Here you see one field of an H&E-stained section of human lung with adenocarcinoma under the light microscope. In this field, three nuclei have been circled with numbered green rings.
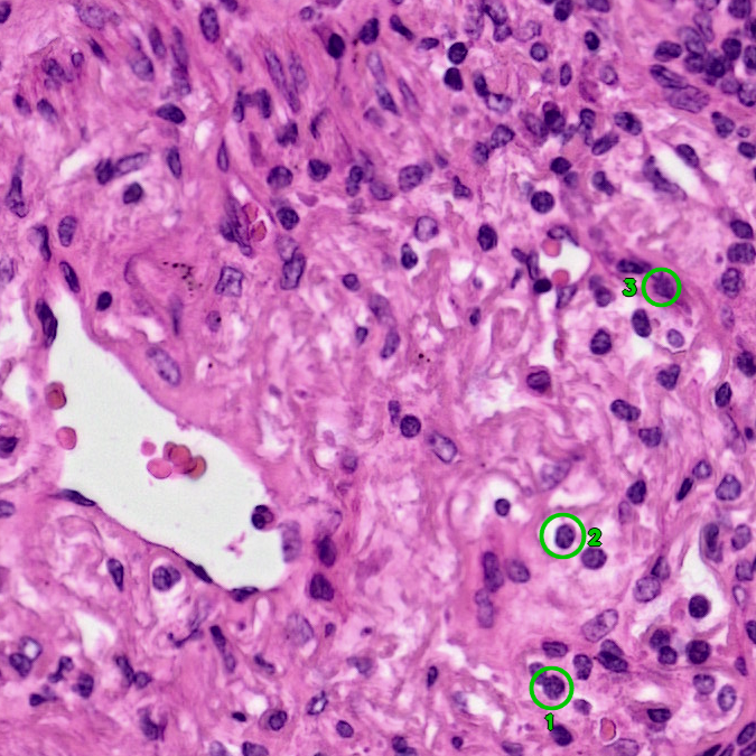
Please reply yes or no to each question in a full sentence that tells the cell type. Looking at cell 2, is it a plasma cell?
No, cell 2 is not a plasma cell; it is a lymphocyte.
